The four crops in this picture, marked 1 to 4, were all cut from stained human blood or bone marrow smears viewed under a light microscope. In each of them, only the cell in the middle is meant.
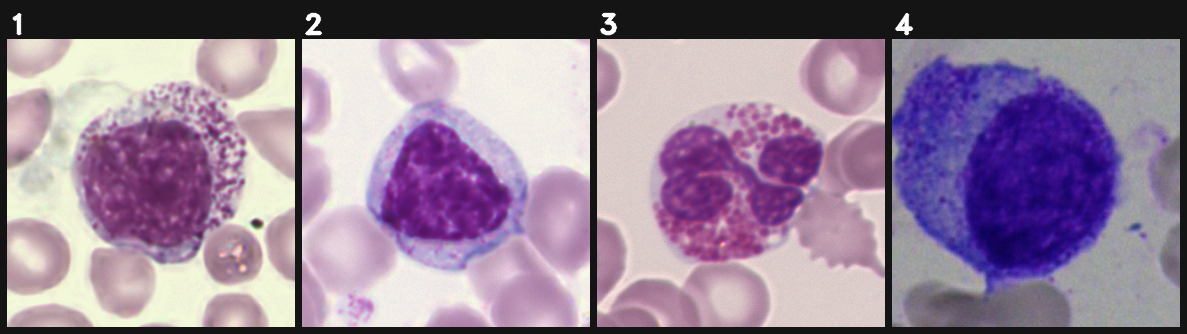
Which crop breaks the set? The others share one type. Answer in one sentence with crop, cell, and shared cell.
Crop 3 shows an eosinophil; by contrast, all the other crops show myelocytes.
